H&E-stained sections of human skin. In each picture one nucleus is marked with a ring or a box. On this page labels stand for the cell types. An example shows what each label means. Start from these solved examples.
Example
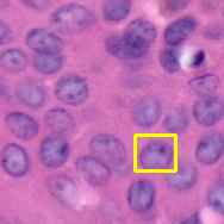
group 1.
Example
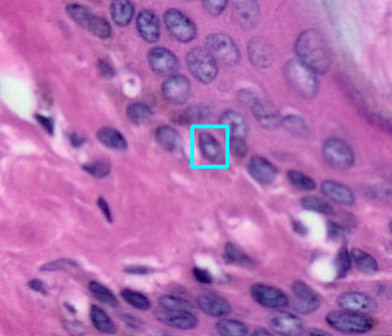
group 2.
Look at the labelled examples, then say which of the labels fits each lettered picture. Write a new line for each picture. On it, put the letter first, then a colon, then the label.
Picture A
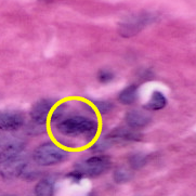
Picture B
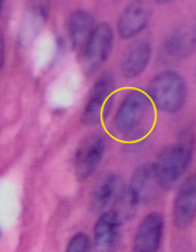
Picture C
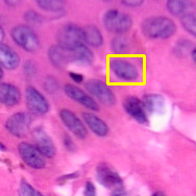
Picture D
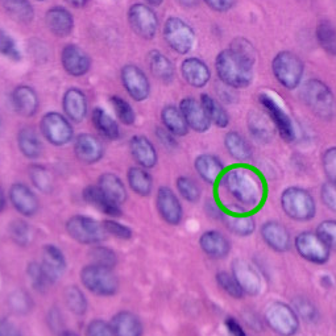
A: group 2.
B: group 2.
C: group 2.
D: group 1.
